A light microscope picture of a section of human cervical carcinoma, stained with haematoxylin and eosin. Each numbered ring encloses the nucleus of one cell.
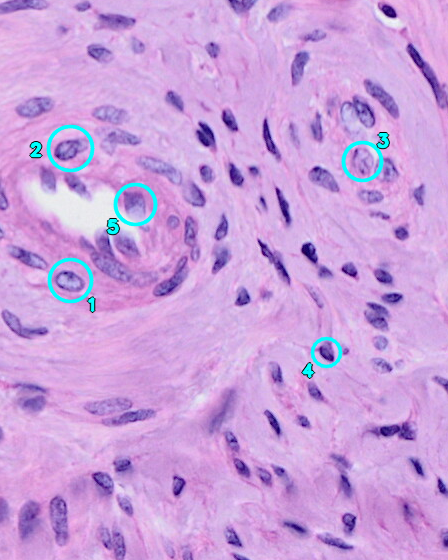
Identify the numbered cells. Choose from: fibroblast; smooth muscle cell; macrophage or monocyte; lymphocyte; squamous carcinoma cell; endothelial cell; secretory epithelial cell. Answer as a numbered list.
1. smooth muscle cell
2. smooth muscle cell
3. endothelial cell
4. fibroblast
5. endothelial cell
